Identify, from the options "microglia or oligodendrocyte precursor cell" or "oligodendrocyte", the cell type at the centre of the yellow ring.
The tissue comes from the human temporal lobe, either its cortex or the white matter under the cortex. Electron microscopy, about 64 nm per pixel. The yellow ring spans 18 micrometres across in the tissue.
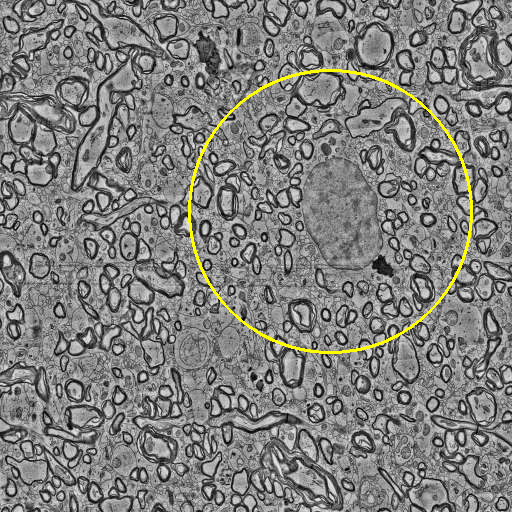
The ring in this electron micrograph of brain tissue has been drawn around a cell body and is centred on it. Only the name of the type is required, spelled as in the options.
oligodendrocyte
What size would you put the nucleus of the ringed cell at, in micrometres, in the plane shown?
About 7 by 5 micrometers for the nucleus, in this plane.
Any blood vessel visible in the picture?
No.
